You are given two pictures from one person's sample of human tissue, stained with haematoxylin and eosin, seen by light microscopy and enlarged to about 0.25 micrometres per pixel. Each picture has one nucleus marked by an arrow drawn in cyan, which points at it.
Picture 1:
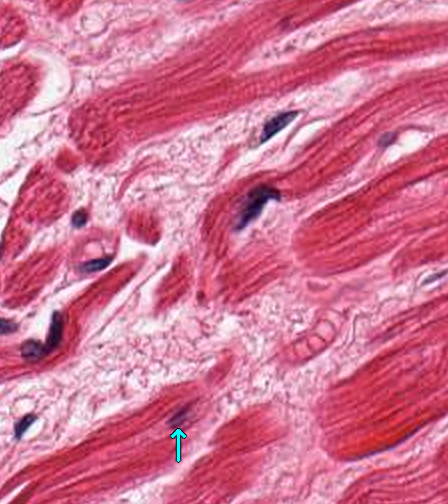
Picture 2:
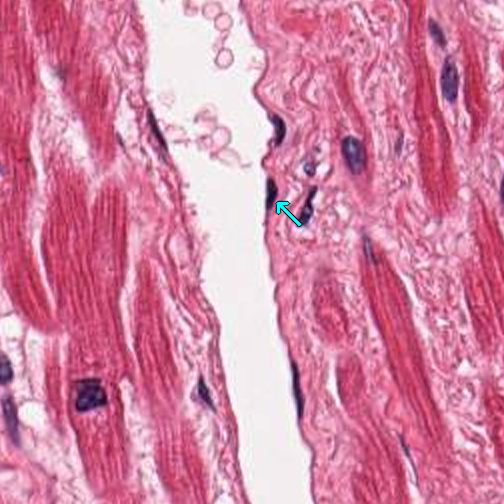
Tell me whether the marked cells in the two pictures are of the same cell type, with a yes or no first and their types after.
No, the first is a cardiomyocyte and the second an endothelial cell.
